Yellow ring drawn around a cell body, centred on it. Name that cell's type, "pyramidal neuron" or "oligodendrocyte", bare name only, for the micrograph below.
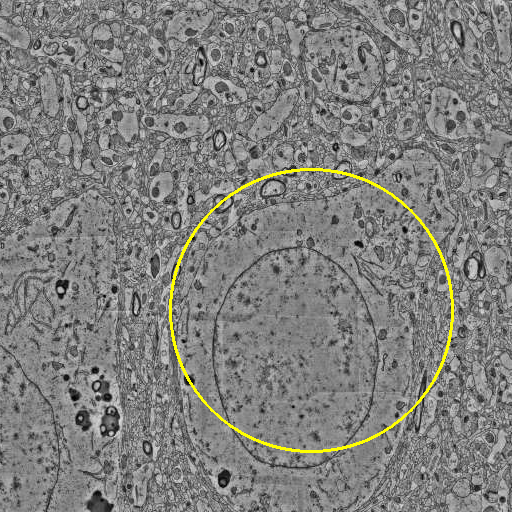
pyramidal neuron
